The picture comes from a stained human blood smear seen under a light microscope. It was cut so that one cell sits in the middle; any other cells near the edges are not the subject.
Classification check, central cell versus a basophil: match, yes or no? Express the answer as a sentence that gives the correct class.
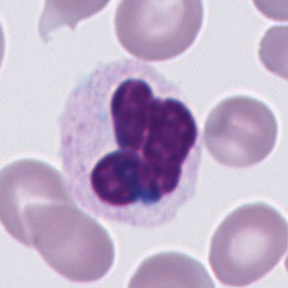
No, the central cell is a segmented neutrophil, not a basophil.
